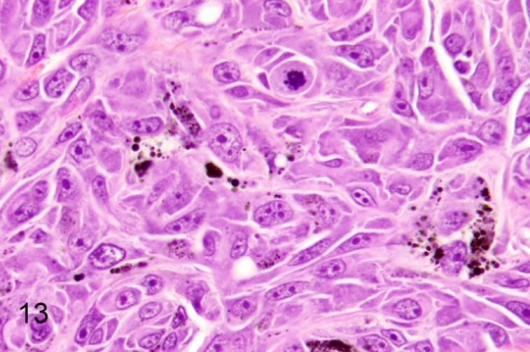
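These are poorly differentiated neoplastic melanocytes, large polygonal to epithelioid cells with ample pink cytoplasm arranged in crowded sheets. The nuclei are big and vesicular, and they differ noticeably in size and shape from cell to cell. Many contain prominent dark nucleoli, and some nuclei show more than one. A few cells hold coarse dark brown to black pigment granules, clustered in small groups rather than spread evenly. Thin pale spaces separate some cells. Compared with a well-differentiated tumour, the larger nuclei, their variation and the conspicuous nucleoli mark these cells as more atypical.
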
